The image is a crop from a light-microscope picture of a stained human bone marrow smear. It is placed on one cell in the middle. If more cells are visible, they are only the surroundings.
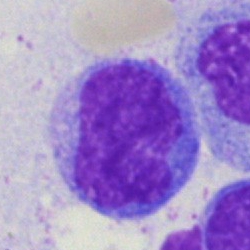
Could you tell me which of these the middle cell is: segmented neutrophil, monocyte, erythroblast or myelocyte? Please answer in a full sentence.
In the middle of this smear crop, the cell is a monocyte.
